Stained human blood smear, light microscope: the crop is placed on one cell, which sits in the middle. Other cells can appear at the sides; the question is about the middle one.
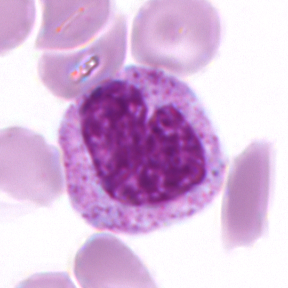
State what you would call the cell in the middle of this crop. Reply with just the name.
band neutrophil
